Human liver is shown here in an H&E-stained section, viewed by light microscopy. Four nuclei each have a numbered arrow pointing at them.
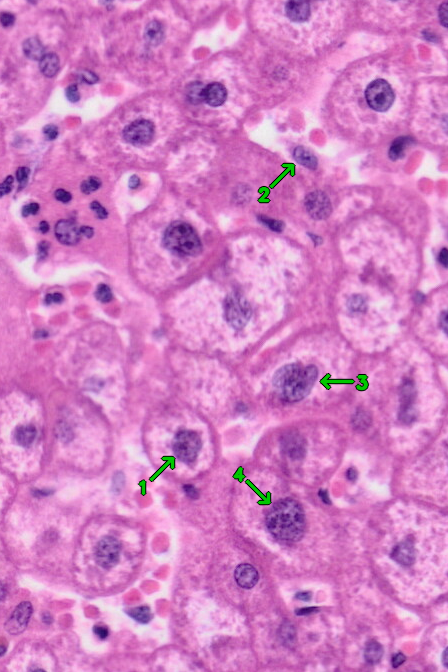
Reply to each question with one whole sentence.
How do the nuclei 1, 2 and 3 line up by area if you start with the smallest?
Smallest first, the nuclei run 2, 1, 3.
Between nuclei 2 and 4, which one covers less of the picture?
The smaller nucleus is 2, and 4 covers roughly 2.5 times its area.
